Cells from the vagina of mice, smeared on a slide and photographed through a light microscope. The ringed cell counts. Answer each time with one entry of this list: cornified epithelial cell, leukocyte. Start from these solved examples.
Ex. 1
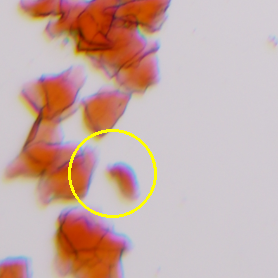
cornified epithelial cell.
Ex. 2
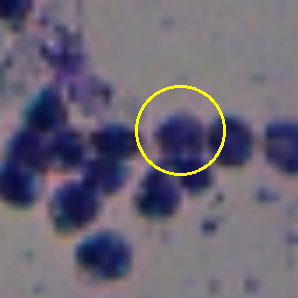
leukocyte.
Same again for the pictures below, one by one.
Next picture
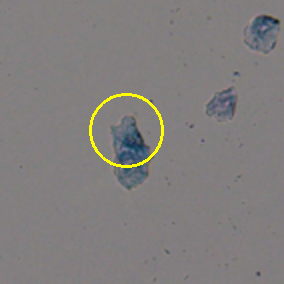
cornified epithelial cell.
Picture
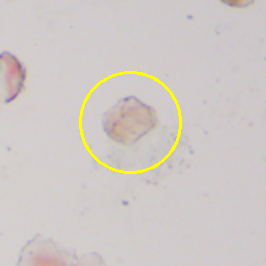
cornified epithelial cell.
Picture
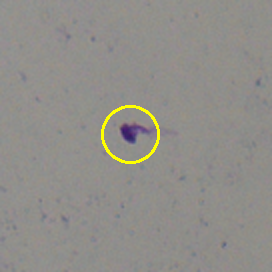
leukocyte.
